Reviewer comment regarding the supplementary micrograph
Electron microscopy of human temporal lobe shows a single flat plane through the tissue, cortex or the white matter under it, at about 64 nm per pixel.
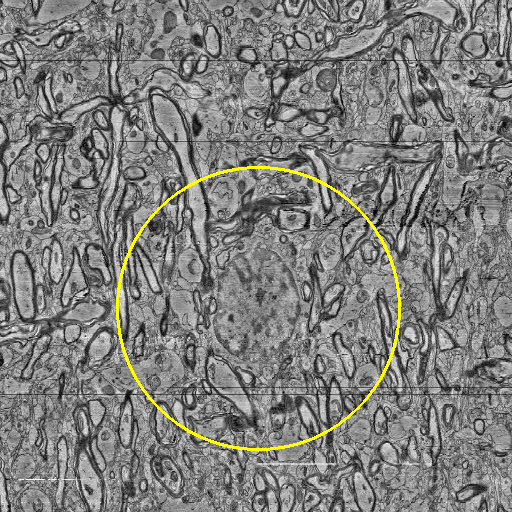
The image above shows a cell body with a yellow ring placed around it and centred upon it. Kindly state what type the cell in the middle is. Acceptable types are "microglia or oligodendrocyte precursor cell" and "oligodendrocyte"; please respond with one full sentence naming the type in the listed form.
In the image above, the cell on which the yellow ring is centred is an oligodendrocyte.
